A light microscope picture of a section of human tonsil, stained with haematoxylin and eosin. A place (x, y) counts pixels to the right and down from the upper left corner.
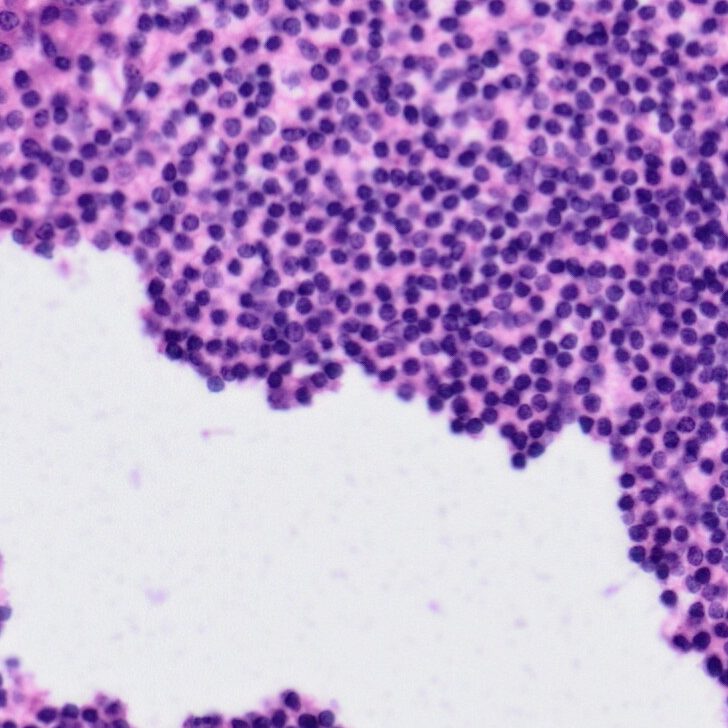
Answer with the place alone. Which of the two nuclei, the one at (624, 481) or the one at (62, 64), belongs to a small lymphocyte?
(624, 481)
